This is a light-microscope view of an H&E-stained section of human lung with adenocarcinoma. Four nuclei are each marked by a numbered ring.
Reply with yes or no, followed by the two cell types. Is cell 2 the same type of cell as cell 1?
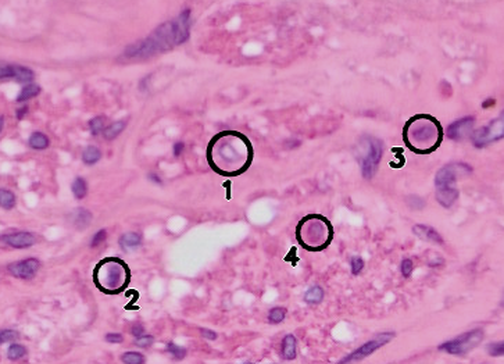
Yes, the cells marked 2 and 1 are both smooth muscle cells or pericytes.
